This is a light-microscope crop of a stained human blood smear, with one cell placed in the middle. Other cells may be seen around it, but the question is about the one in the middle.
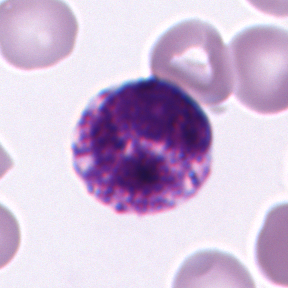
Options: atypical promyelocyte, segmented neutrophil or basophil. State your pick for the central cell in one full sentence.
Of the cells in this crop, the central one is a basophil.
